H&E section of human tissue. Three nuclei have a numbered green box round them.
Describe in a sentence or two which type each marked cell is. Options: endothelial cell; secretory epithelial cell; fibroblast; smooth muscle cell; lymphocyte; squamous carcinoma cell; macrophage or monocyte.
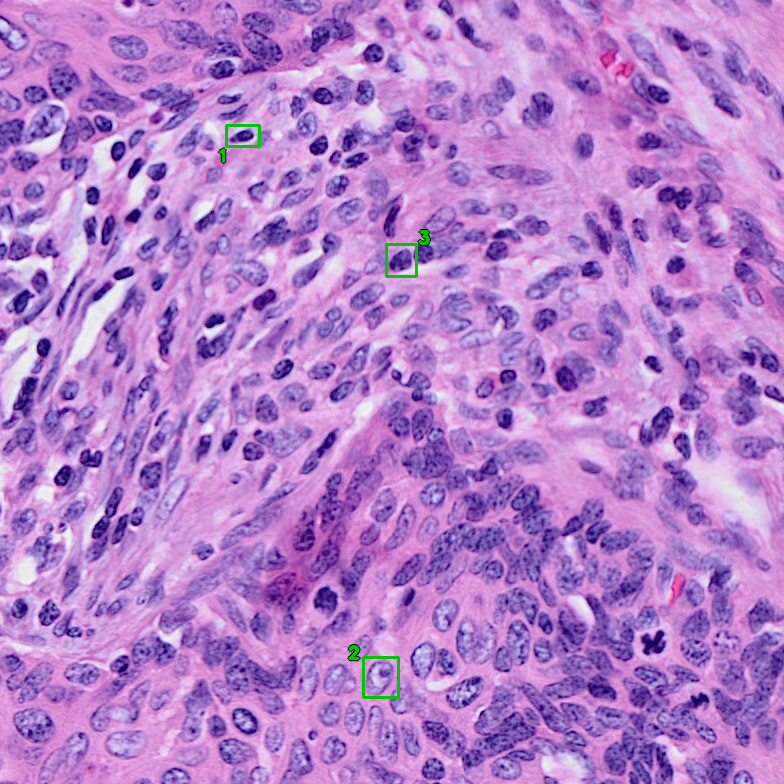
Cells 1 and 3 are lymphocytes. Cell 2 is a squamous carcinoma cell.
